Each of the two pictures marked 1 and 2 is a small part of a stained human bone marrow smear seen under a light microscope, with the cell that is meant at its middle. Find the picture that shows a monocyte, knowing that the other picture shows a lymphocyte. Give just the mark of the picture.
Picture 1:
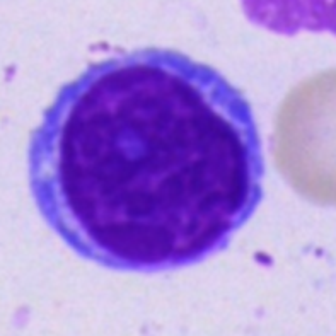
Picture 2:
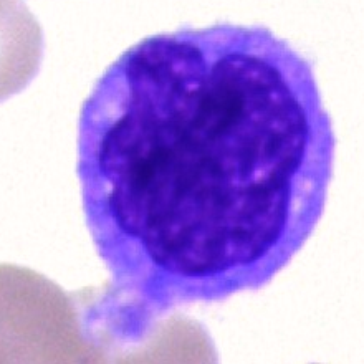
2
